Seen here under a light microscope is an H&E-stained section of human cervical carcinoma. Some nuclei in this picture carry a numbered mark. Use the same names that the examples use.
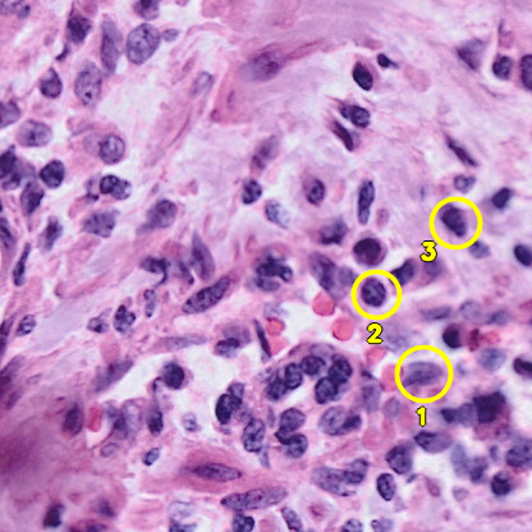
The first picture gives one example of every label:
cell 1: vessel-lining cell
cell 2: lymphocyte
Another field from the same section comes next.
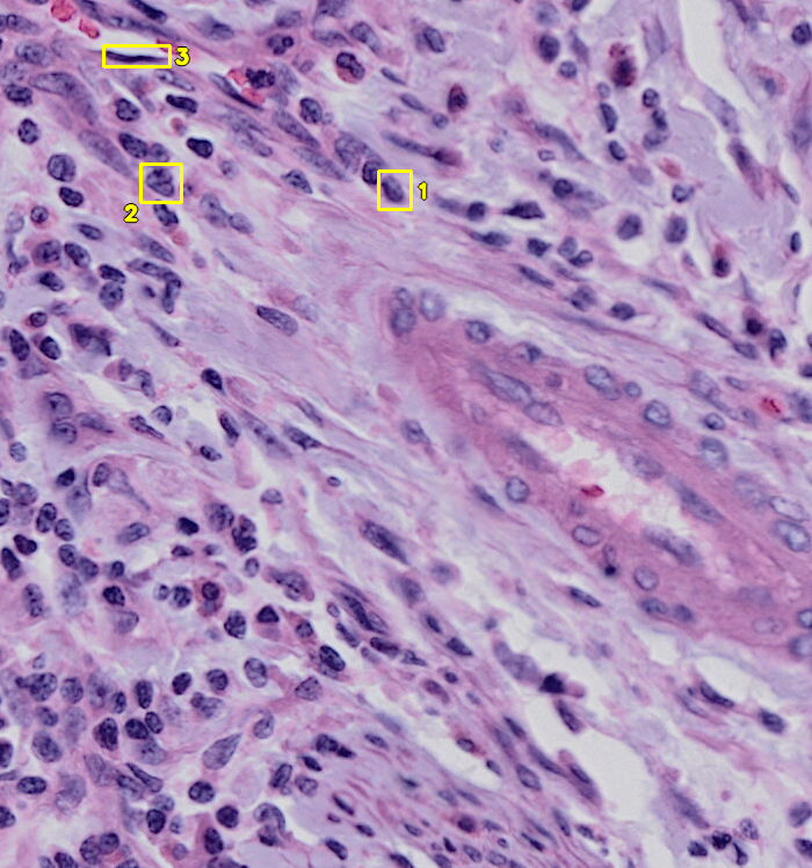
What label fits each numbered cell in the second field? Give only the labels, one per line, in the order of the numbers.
lymphocyte
lymphocyte
vessel-lining cell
